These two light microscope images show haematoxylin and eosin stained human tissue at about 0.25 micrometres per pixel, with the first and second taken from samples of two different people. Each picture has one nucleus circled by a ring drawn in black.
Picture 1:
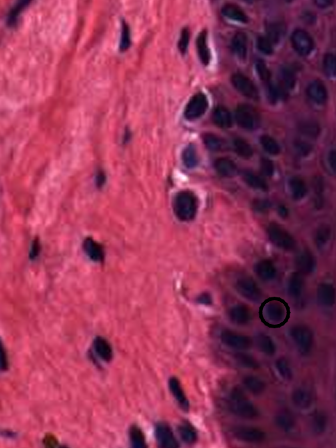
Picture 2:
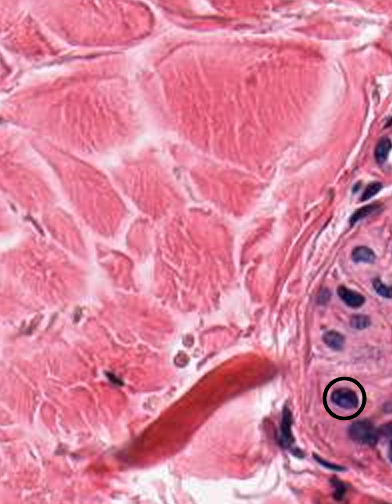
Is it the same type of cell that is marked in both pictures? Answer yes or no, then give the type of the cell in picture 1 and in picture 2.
No, the first is a keratinocyte and the second a sweat gland cell.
